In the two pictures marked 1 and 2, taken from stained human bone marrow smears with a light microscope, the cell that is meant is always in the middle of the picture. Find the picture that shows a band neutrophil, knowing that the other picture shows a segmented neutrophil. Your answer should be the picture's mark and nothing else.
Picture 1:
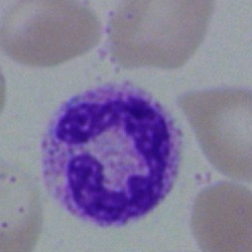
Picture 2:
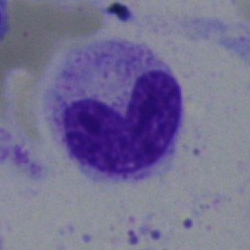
2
